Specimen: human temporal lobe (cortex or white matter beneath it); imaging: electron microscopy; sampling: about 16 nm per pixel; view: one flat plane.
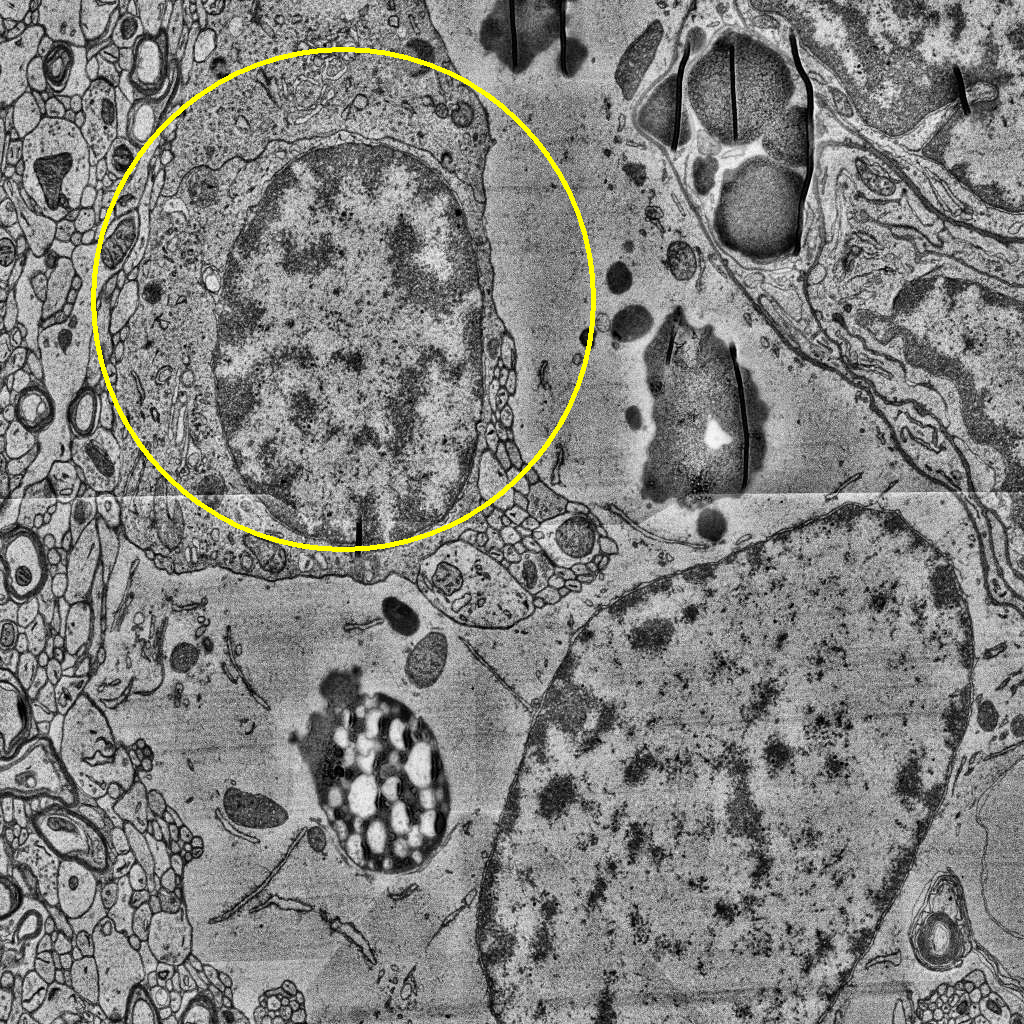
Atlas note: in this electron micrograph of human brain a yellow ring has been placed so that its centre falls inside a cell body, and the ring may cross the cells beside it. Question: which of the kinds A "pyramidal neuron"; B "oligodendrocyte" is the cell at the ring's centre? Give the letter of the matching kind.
B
